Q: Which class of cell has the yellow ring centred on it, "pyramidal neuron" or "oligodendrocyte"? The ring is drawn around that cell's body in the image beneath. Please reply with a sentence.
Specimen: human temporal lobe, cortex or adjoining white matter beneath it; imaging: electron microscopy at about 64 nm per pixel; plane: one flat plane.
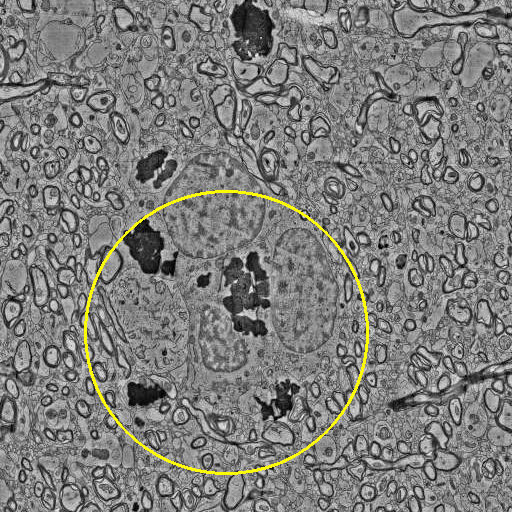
It is centred on an oligodendrocyte.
